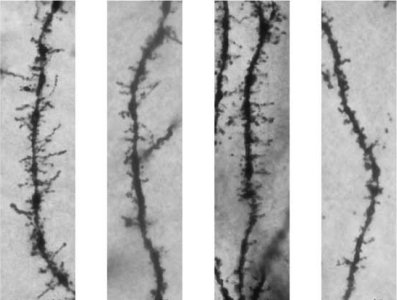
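Small spines project from the shafts: some carry rounded heads, others are thin short hairs, and some are blunt stubs. The density of these protrusions varies between strips, some shafts looking densely bristled and others smoother. No cell bodies, nuclei or surrounding tissue architecture are visible, only the dendritic segments.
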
